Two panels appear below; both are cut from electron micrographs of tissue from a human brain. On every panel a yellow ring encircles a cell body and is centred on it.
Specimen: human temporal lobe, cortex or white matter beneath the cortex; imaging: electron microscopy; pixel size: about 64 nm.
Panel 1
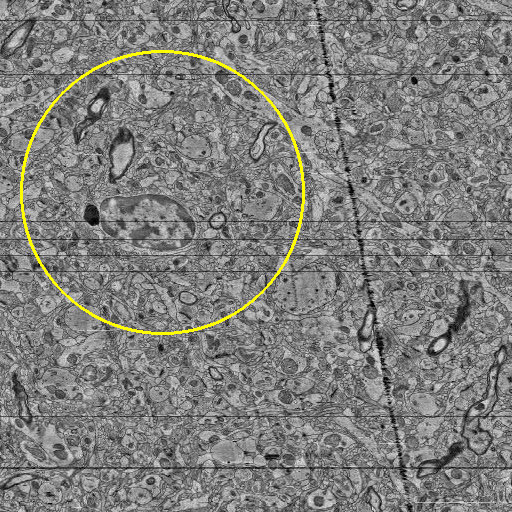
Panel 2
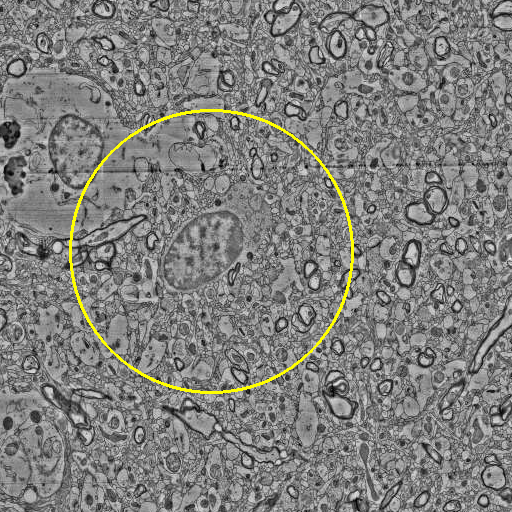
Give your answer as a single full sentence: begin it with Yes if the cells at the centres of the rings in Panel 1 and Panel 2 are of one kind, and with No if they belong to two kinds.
No, the cells in the middle of the rings in Panels 1 and 2 are of two kinds.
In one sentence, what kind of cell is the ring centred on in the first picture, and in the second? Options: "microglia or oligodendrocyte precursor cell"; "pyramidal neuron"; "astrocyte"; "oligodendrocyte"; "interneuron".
The cell at the centre of the second ring is an oligodendrocyte; the first ring's cell is a microglial cell or oligodendrocyte precursor cell.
